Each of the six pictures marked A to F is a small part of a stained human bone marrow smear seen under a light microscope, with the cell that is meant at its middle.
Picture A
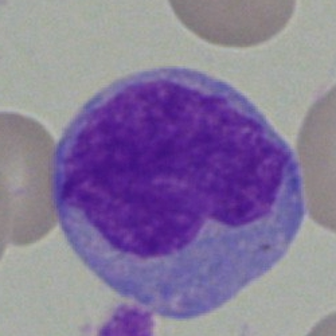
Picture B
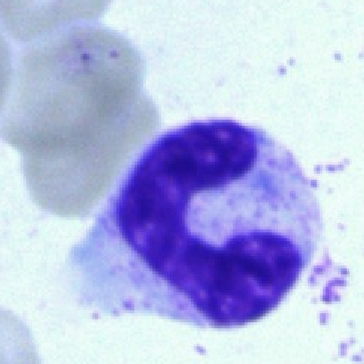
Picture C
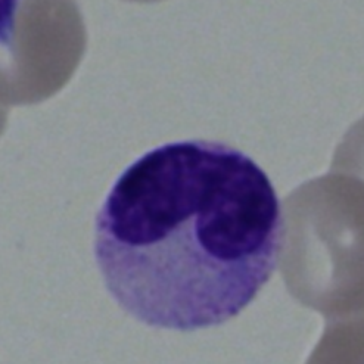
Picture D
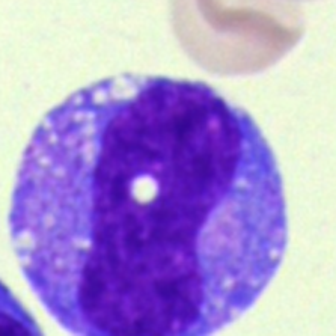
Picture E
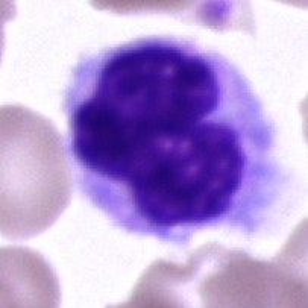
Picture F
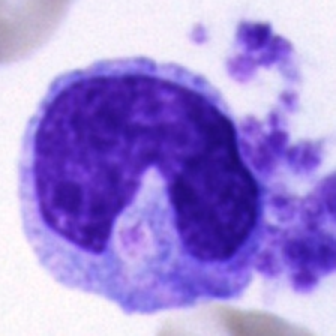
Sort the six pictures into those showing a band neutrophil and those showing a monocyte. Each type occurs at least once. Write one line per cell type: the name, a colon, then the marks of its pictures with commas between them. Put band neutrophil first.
band neutrophil: B, C
monocyte: A, D, E, F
